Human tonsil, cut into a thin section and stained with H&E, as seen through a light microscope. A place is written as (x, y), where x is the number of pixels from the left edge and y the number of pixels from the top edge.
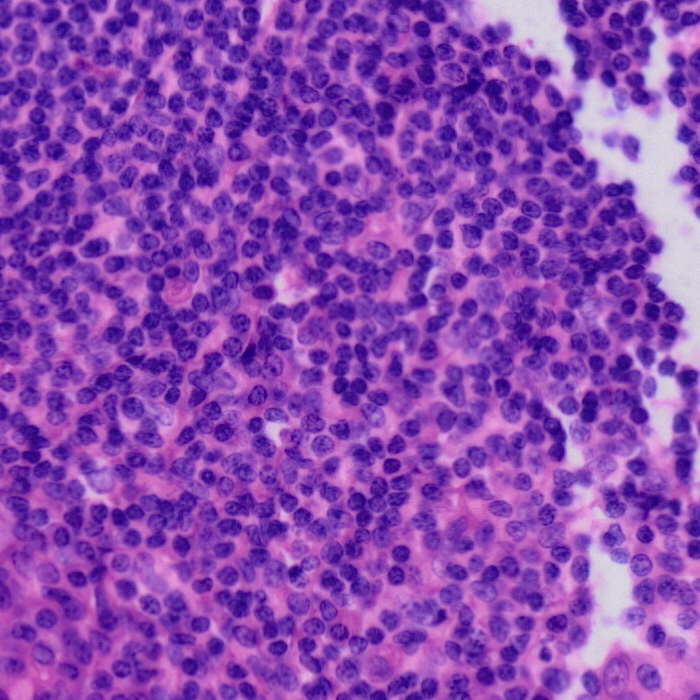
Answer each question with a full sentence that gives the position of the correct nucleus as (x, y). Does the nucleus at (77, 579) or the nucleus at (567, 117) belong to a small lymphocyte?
Assigned to a small lymphocyte is the nucleus located at (567, 117).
